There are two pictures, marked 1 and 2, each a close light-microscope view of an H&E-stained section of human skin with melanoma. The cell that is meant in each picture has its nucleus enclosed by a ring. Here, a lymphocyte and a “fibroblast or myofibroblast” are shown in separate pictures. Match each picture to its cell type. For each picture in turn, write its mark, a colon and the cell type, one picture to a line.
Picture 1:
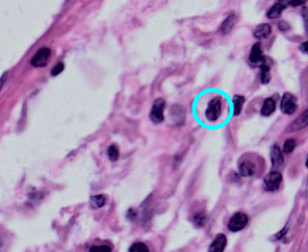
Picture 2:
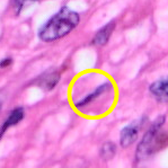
1: lymphocyte
2: fibroblast or myofibroblast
